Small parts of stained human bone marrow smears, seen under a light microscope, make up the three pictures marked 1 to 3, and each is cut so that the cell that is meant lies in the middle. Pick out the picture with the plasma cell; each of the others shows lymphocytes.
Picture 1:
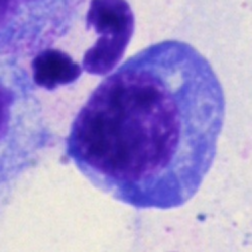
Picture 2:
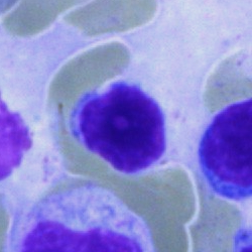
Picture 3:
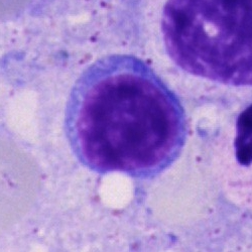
1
